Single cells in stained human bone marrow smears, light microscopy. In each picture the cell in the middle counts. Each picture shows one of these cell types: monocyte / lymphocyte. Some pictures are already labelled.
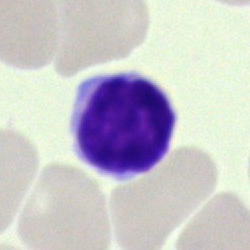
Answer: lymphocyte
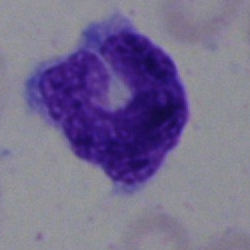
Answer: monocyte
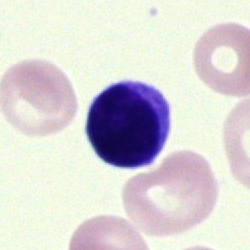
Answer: lymphocyte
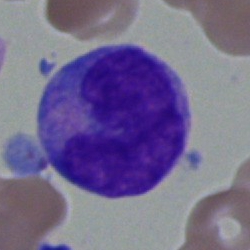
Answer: monocyte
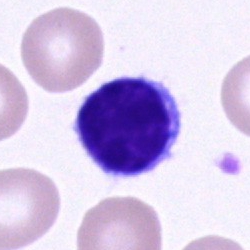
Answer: lymphocyte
